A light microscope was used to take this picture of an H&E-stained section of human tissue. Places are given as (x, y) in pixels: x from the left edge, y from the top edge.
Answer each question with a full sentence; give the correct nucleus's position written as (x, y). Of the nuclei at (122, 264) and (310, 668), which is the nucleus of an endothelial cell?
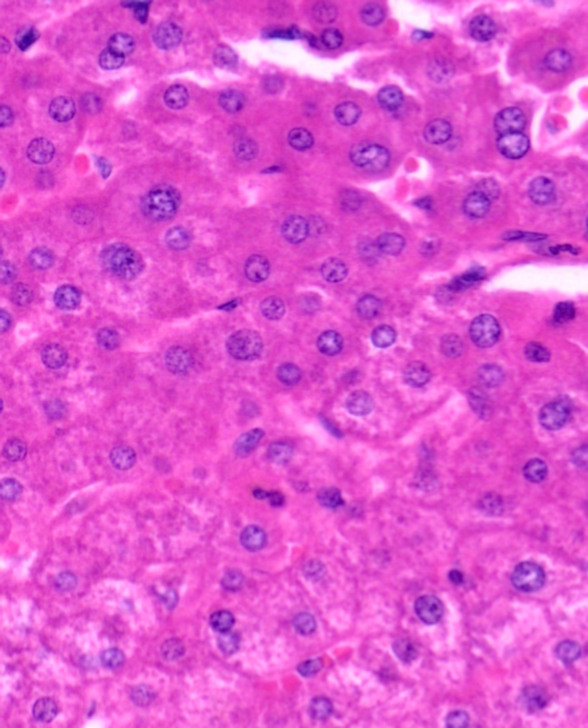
Among the two, the nucleus at (310, 668) is the nucleus of an endothelial cell.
